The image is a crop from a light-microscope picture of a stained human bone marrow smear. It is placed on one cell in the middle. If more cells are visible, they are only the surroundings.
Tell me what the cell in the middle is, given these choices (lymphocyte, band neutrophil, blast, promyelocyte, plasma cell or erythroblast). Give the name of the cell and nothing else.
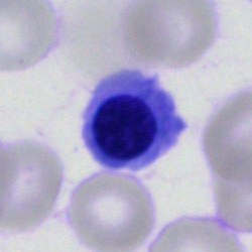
erythroblast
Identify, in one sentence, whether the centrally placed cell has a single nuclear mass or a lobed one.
The nucleus amounts to one compact mass with a round, oval or kidney-shaped outline.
